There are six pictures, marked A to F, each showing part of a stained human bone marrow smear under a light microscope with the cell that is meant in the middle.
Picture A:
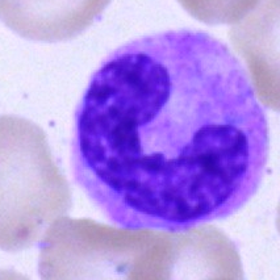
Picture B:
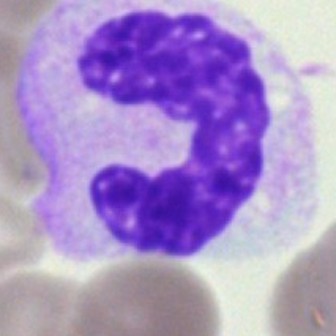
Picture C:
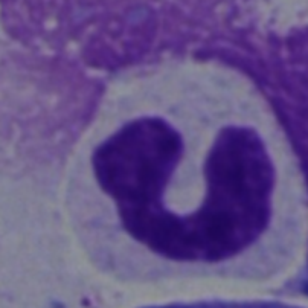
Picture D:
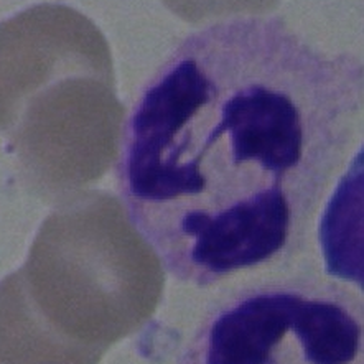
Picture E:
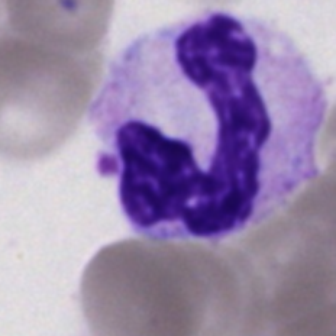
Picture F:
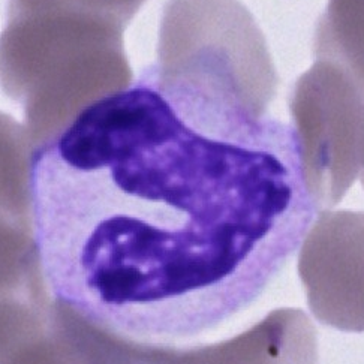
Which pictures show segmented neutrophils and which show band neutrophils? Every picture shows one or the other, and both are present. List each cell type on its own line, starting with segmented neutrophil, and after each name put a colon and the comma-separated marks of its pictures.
segmented neutrophil: C, D, E
band neutrophil: A, B, F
